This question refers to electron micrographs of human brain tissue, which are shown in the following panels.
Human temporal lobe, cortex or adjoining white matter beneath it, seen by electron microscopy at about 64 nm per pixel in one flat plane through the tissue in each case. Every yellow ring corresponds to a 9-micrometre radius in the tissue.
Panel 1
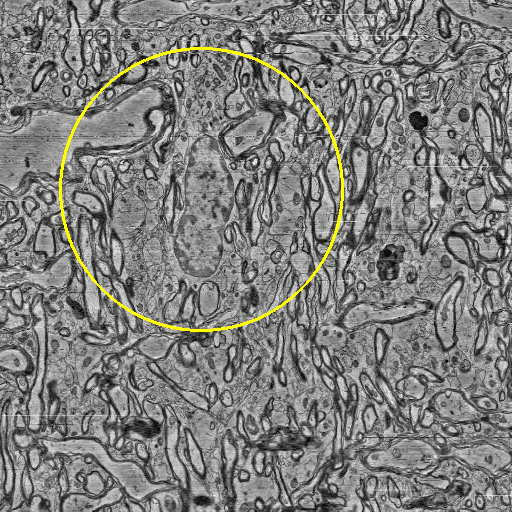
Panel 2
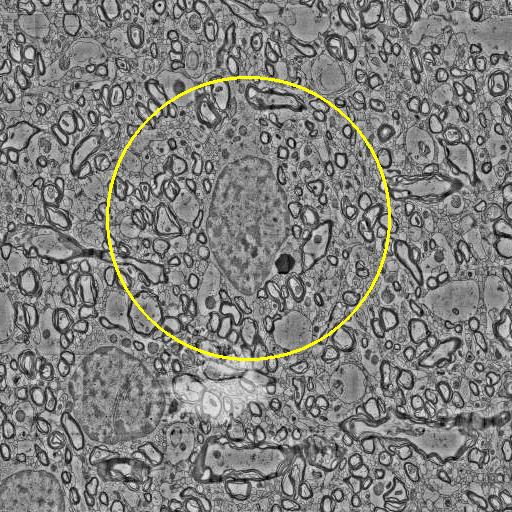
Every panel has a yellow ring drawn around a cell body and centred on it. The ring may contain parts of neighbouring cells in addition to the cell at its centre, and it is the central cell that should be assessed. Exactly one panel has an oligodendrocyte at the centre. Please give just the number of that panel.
2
